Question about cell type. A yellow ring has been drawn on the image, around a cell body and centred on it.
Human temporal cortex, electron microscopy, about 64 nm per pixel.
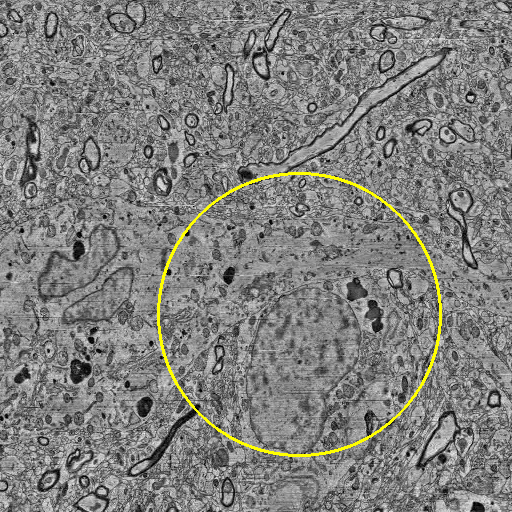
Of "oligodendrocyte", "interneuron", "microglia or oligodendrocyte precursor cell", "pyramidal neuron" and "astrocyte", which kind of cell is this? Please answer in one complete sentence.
At the centre of the ring lies an interneuron.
